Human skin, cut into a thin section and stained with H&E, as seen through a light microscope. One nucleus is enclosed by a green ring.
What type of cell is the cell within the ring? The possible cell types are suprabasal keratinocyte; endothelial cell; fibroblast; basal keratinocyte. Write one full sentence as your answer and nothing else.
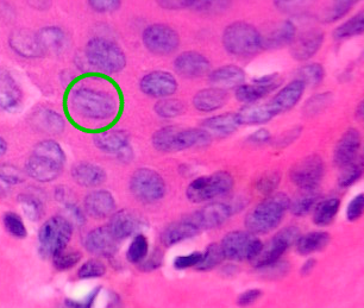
So far as cell type goes, the cell within the ring is a suprabasal keratinocyte.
